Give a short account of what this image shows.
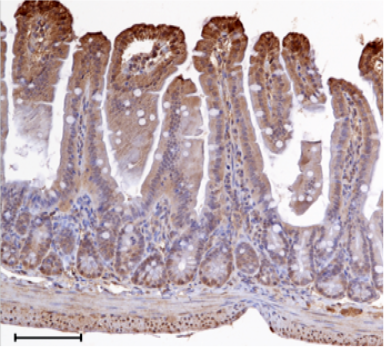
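This is small intestinal mucosa with tall villi lined by a single layer of columnar epithelial cells around cores of lamina propria. The brown stain lies in the cytoplasm of the epithelial cells and extends far down the villi, while the blue nuclei sit in a row near the base of the epithelium. Scattered pale, rounded vacuoles within the epithelium mark goblet cells. Below the villi lie the crypts and the muscular wall, which stain more weakly.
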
